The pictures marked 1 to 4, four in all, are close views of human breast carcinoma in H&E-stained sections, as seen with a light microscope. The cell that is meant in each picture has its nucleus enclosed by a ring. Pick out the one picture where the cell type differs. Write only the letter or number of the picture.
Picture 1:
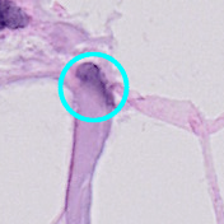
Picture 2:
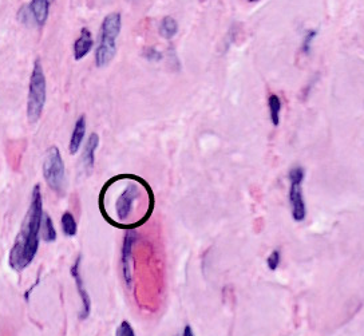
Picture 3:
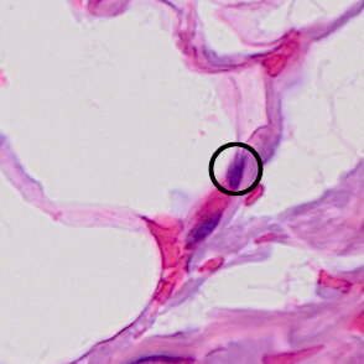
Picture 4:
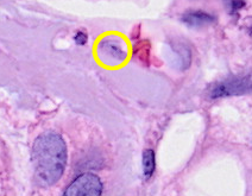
1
